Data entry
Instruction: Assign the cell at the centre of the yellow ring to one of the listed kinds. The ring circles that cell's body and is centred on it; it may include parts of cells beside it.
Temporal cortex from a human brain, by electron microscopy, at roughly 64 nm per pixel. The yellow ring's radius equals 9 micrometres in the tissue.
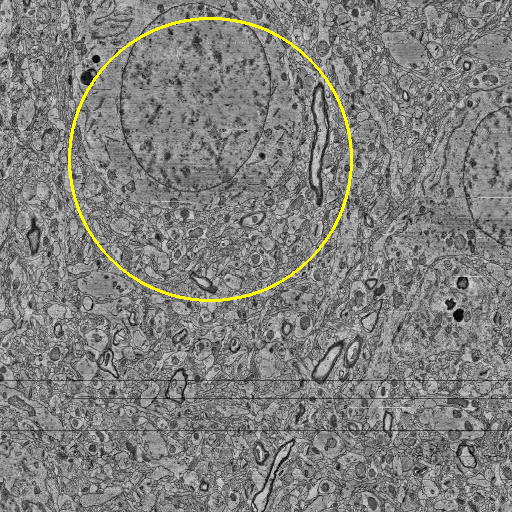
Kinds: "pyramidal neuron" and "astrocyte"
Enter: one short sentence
The centre of the ring falls on a pyramidal neuron.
